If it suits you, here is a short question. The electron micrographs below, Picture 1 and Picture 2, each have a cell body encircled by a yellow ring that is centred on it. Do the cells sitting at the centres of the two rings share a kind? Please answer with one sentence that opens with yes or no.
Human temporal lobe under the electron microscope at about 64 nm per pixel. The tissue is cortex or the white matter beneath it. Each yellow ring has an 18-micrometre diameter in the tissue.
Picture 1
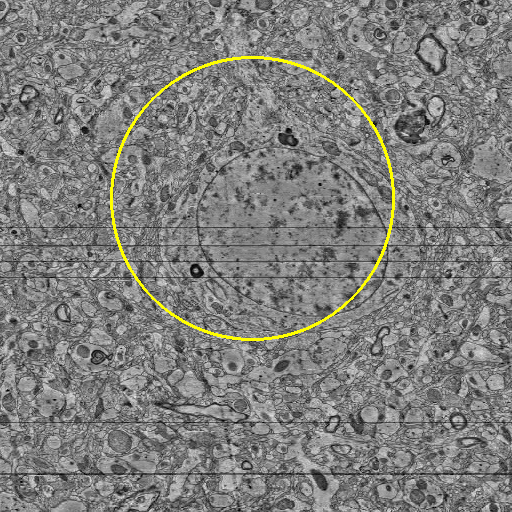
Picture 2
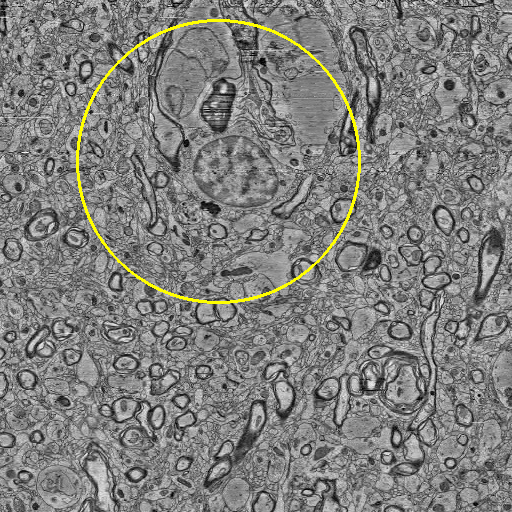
No, the two cells sitting at the ring centres fall into two kinds.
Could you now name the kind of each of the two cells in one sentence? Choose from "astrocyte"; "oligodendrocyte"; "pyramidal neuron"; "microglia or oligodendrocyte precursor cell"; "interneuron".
The first ring encloses a pyramidal neuron; the second ring encloses an oligodendrocyte.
